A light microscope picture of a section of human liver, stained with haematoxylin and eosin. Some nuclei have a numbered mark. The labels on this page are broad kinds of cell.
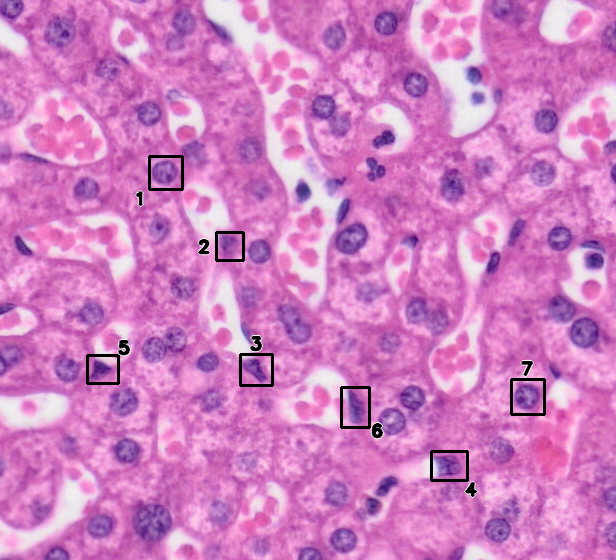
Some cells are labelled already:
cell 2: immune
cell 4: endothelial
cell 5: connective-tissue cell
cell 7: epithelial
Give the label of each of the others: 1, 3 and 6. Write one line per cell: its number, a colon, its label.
1: epithelial
3: connective-tissue cell
6: endothelial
